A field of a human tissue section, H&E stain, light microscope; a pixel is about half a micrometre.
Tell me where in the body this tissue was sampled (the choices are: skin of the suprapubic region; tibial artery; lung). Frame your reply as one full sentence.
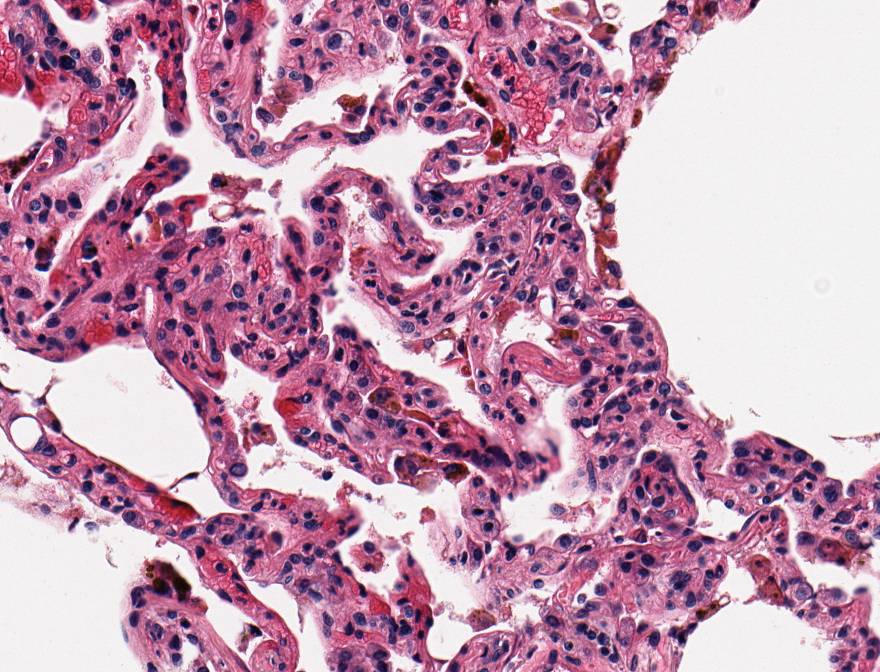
This slide holds tissue sampled from the lung.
